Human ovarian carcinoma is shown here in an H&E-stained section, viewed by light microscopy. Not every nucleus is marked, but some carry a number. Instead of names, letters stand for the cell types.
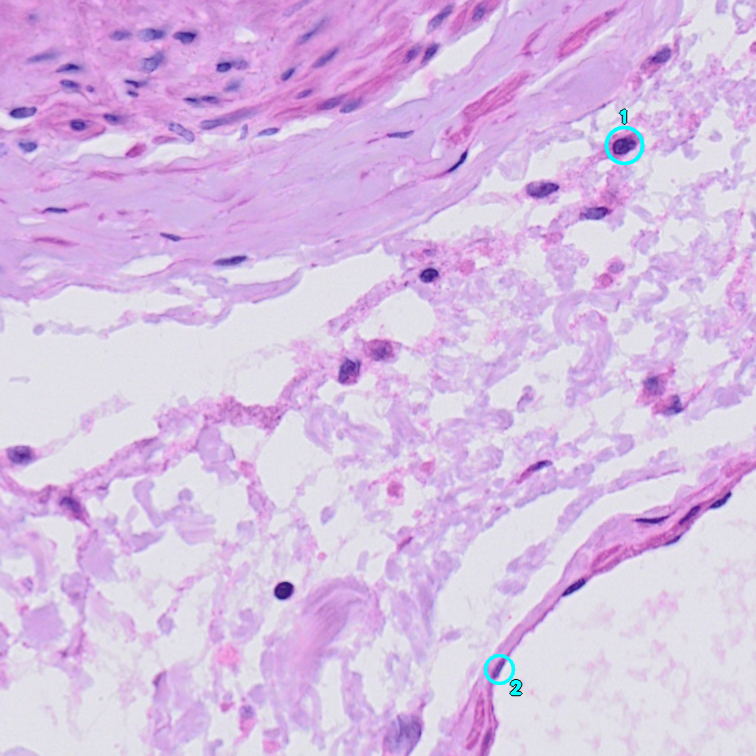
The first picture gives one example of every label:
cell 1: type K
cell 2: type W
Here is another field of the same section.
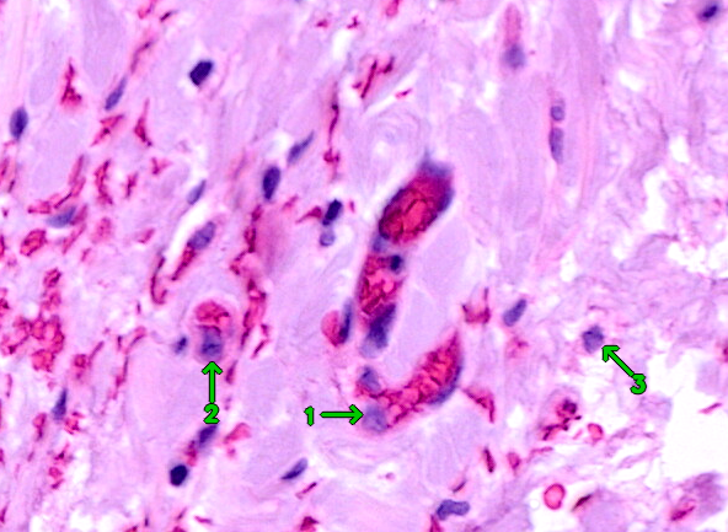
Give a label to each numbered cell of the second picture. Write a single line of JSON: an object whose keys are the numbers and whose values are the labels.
{"1": "type W", "2": "type W", "3": "type K"}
